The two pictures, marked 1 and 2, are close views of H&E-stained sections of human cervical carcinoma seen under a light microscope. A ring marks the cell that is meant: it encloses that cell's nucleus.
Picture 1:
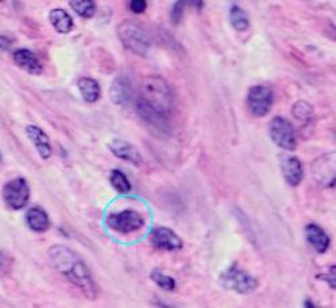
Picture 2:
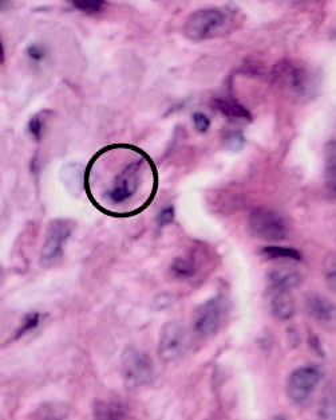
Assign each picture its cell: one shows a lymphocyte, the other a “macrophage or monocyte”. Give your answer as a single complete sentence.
Picture 2 shows a “macrophage or monocyte”, while picture 1 shows a lymphocyte.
